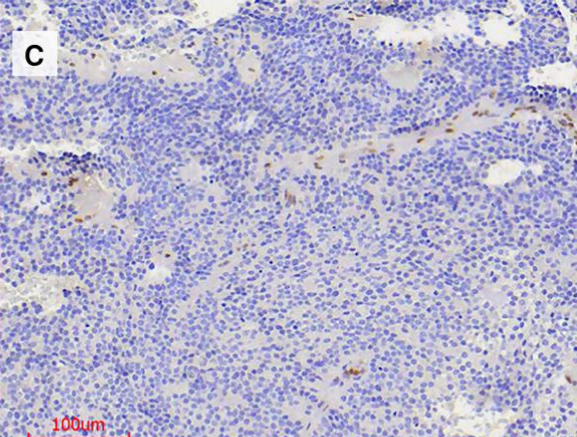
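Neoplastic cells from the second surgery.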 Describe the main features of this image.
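Dense sheets of tumor cells fill the field, and their round nuclei show only the blue counterstain with no brown. Scattered slender brown nuclei line the thin, pale vascular channels that run between the sheets. These brown nuclei belong to endothelial cells.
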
